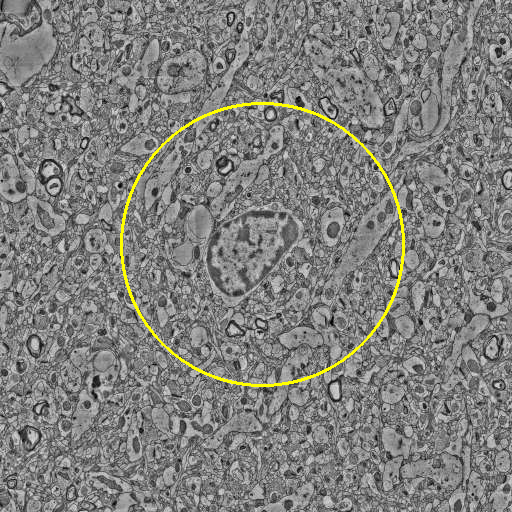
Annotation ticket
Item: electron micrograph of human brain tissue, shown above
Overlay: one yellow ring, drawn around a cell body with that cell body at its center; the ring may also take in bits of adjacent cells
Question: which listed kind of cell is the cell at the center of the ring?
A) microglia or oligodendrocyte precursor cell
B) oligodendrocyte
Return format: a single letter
A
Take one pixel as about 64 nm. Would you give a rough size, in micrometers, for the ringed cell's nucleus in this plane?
The nucleus measures about 6 by 4 micrometres, so it is clearly longer than it is wide in this plane.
